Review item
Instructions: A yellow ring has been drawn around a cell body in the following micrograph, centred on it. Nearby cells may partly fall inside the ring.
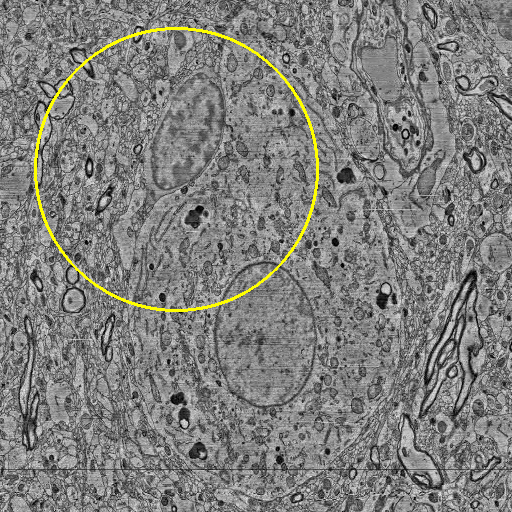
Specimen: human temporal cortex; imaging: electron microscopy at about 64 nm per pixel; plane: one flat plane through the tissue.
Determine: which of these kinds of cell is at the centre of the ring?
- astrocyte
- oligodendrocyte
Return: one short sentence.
The cell body in the middle of the ring is that of an oligodendrocyte.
